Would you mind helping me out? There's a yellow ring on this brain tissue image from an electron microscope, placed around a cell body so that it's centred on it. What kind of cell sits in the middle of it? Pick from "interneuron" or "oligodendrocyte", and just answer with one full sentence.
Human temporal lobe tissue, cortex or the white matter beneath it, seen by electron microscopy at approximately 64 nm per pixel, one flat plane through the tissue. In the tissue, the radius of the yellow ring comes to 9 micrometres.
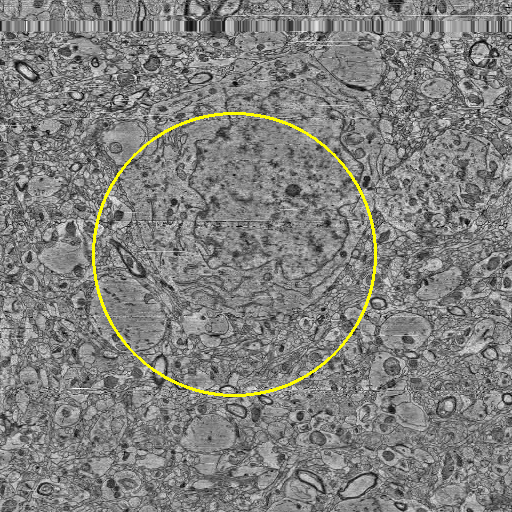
What sits in the middle of that yellow ring is an interneuron, from your choices.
